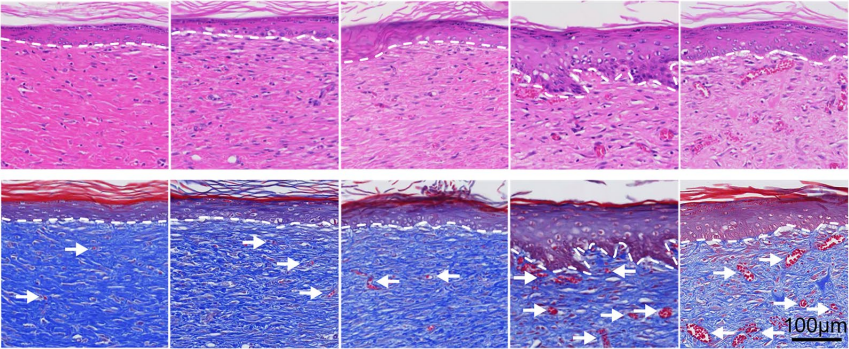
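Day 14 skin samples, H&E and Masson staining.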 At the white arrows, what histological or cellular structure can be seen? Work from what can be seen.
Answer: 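Blood vessels. In the lower row the arrows point at small round or oval spaces within the blue-stained dermis. Many of these spaces hold red-stained material.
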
